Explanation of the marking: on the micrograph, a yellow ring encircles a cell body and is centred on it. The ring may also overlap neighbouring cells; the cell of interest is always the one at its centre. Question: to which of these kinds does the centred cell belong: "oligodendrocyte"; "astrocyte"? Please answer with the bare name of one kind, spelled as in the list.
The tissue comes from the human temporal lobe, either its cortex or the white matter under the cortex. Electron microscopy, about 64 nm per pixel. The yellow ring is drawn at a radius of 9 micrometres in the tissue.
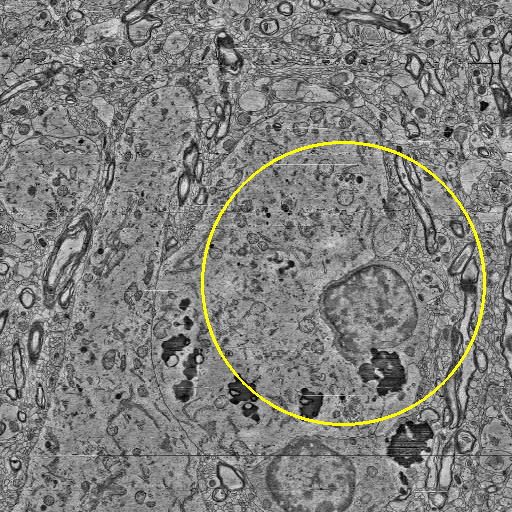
oligodendrocyte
